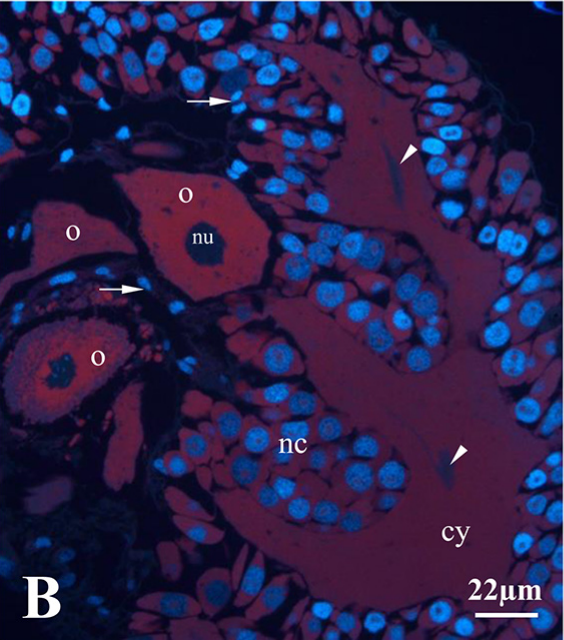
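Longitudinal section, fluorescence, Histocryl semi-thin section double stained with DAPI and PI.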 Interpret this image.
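A section through a germ-line cyst of the ovary with nurse cells and oocytes grouped about a branched central cytophore. Nuclei are bright blue and cytoplasm is red. The cytophore forms a broad, branching red mass without nuclei, running between the cell groups. Around its branches lie tight clusters of nurse cells, each with a round to oval blue nucleus and little cytoplasm. To the left lie much larger oocytes with abundant red cytoplasm; one shows a large round nucleus. Small, flattened nuclei lie between the groups and at their margins. Within the cytophore are a few darker streaks.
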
